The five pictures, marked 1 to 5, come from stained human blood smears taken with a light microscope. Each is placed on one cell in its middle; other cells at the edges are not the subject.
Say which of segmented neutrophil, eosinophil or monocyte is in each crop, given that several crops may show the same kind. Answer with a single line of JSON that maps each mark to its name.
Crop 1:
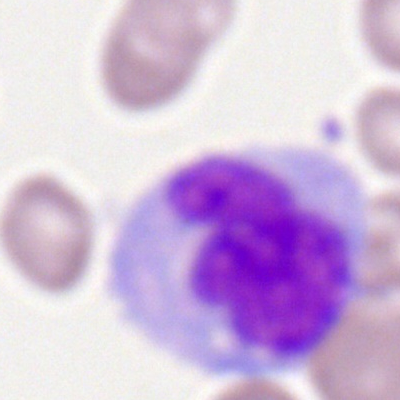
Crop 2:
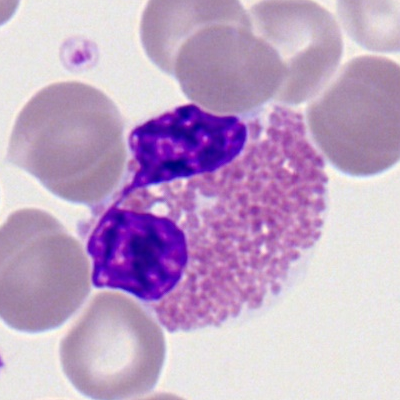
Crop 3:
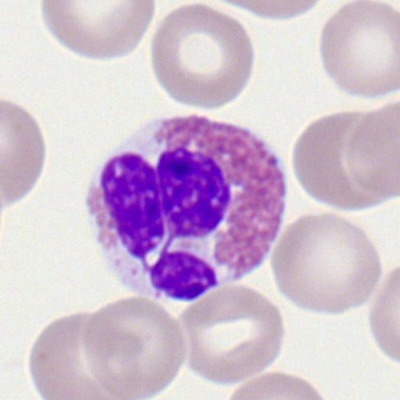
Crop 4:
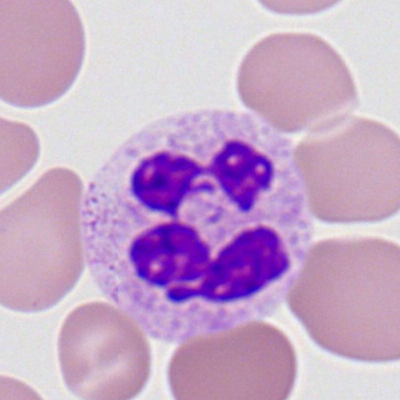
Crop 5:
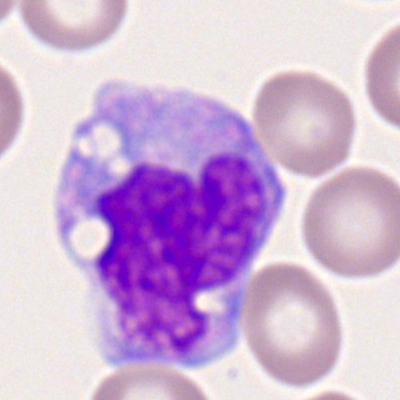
{"1": "monocyte", "2": "eosinophil", "3": "eosinophil", "4": "segmented neutrophil", "5": "monocyte"}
